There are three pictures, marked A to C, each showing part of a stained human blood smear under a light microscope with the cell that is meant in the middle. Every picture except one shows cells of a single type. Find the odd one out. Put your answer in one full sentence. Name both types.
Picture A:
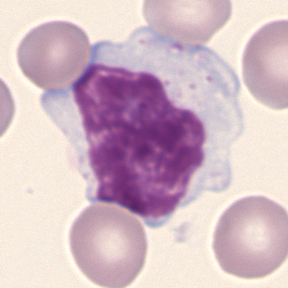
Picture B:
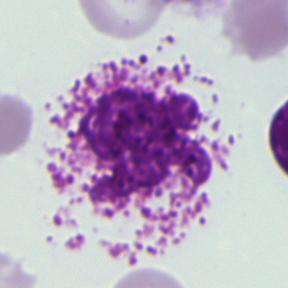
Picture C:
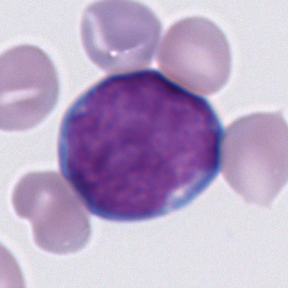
Picture B differs, because its cell is a basophil and the rest are myeloblasts.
